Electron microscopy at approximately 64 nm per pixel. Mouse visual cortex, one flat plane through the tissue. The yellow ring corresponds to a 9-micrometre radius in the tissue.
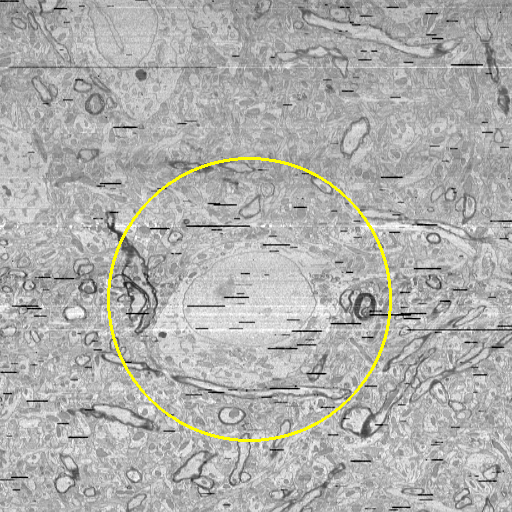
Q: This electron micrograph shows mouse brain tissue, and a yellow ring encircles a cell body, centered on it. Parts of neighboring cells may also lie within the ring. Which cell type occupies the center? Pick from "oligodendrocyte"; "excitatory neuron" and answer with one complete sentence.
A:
What sits at the ring's center in this micrograph is an excitatory neuron, among those choices.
